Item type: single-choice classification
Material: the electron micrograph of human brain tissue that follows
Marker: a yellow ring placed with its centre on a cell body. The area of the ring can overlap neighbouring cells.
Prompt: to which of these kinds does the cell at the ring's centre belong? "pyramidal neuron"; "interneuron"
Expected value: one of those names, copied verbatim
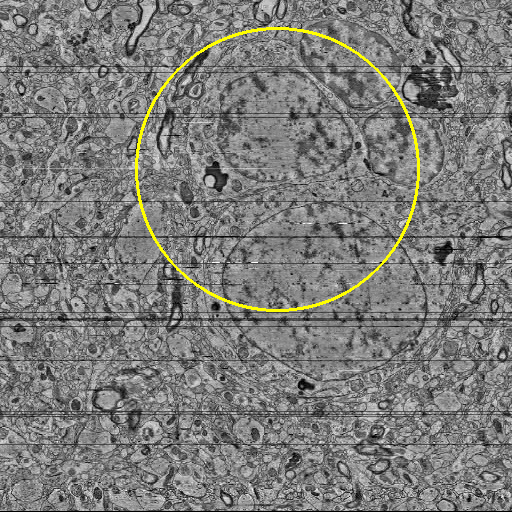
interneuron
